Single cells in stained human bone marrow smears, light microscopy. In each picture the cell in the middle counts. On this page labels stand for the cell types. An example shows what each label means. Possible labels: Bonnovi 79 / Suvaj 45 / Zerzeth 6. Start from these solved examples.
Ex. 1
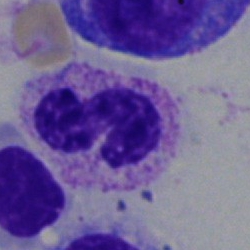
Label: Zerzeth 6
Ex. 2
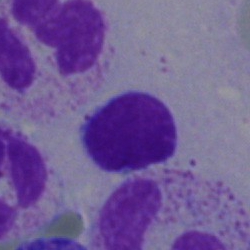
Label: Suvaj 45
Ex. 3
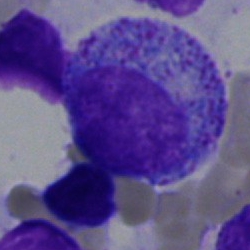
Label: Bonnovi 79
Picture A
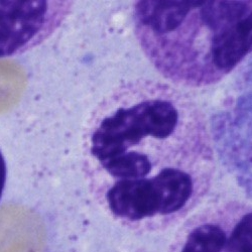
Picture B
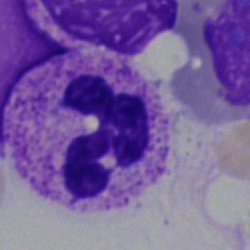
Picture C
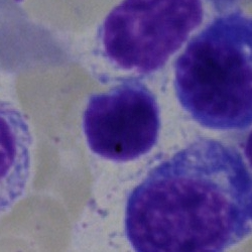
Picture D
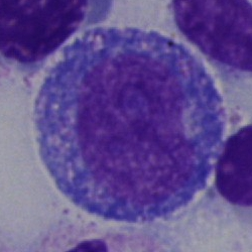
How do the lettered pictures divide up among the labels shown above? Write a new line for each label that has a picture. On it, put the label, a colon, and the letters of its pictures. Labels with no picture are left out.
Bonnovi 79: D
Suvaj 45: C
Zerzeth 6: A, B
